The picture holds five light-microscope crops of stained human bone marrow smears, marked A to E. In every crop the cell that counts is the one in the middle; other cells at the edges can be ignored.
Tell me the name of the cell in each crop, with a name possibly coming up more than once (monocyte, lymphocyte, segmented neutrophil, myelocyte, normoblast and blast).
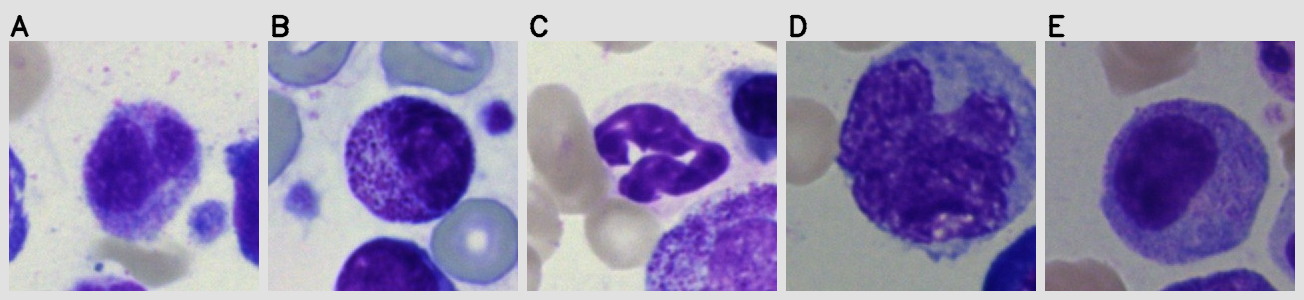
A: monocyte
B: myelocyte
C: segmented neutrophil
D: monocyte
E: myelocyte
